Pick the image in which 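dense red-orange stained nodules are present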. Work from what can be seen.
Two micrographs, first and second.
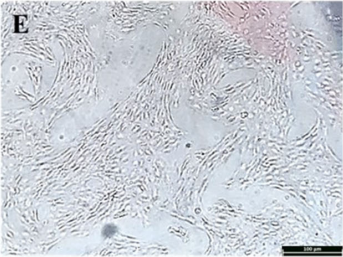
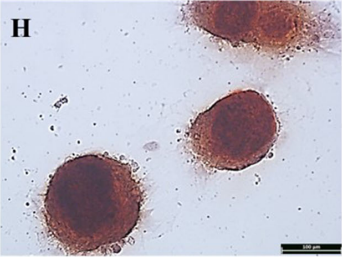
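The second image. Second image: several round nodules stained deep red-orange. First image: pale unstained spindle cells with no red nodules.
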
